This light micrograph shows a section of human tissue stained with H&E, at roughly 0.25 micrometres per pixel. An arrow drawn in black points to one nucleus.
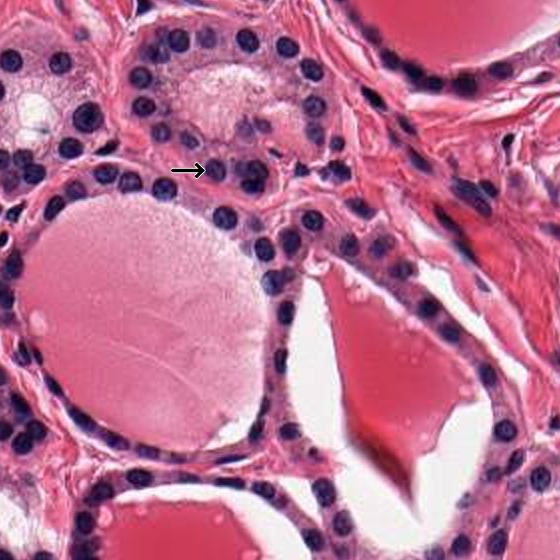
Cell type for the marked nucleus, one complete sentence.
The marked nucleus, in this picture, belongs to a thyroid follicular cell.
